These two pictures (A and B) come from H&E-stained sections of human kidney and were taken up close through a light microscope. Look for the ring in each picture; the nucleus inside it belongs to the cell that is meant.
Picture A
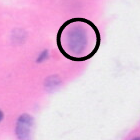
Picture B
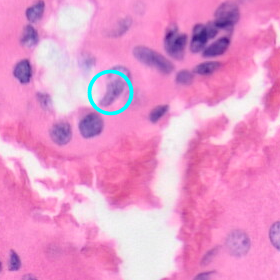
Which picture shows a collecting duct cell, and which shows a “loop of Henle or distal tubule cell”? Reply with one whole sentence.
In picture A the cell is a “loop of Henle or distal tubule cell”; in picture B, a collecting duct cell.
